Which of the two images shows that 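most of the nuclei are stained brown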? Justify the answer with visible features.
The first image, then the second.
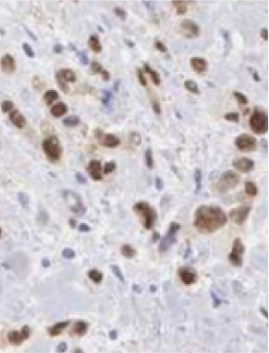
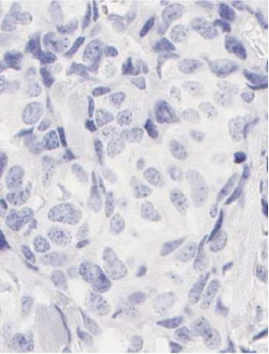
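First image: many nuclei are dark brown. Second image: all nuclei are blue with no brown stain. On this evidence: the first image.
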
